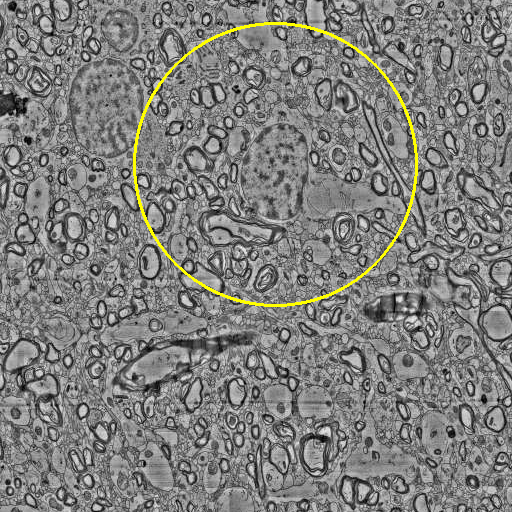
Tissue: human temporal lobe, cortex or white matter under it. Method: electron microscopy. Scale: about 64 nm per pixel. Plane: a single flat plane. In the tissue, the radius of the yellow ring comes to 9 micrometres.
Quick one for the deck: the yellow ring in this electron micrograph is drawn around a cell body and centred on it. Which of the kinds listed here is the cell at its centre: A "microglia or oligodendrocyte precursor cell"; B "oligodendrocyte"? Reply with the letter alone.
A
